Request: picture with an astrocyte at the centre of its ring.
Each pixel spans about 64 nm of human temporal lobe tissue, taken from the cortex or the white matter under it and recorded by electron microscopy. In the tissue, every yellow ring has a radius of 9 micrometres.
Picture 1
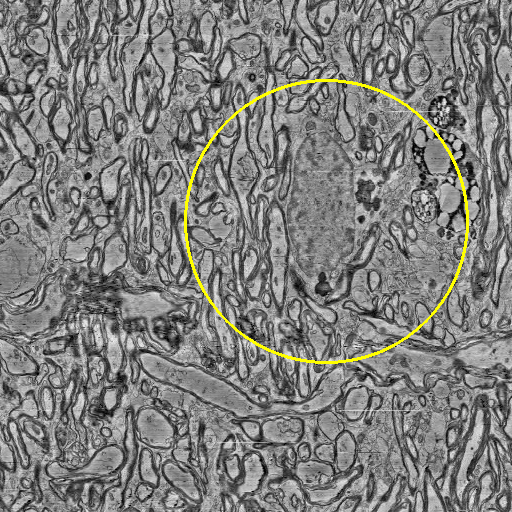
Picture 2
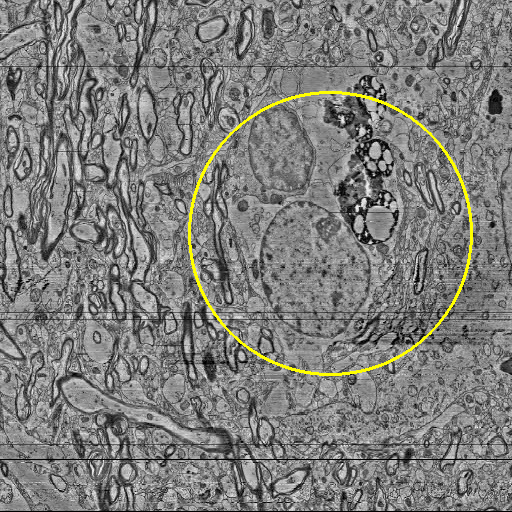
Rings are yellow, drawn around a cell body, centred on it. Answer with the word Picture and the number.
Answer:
Picture 2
